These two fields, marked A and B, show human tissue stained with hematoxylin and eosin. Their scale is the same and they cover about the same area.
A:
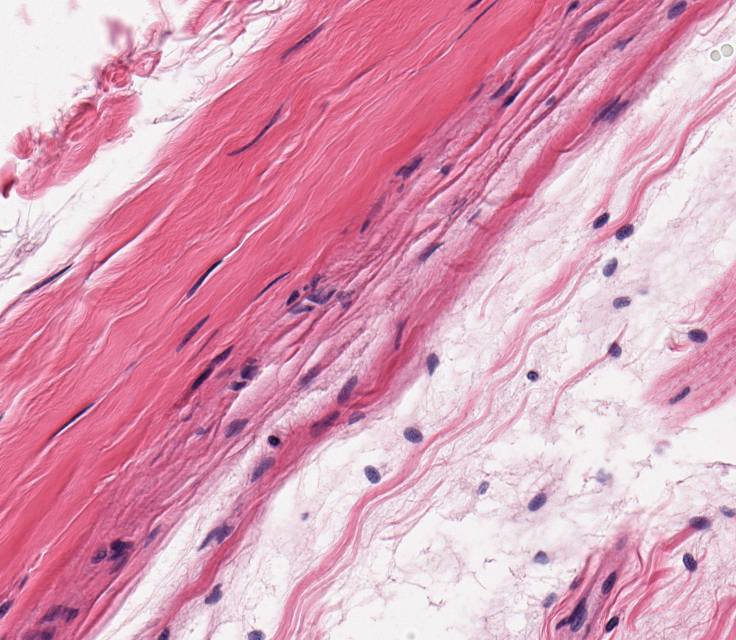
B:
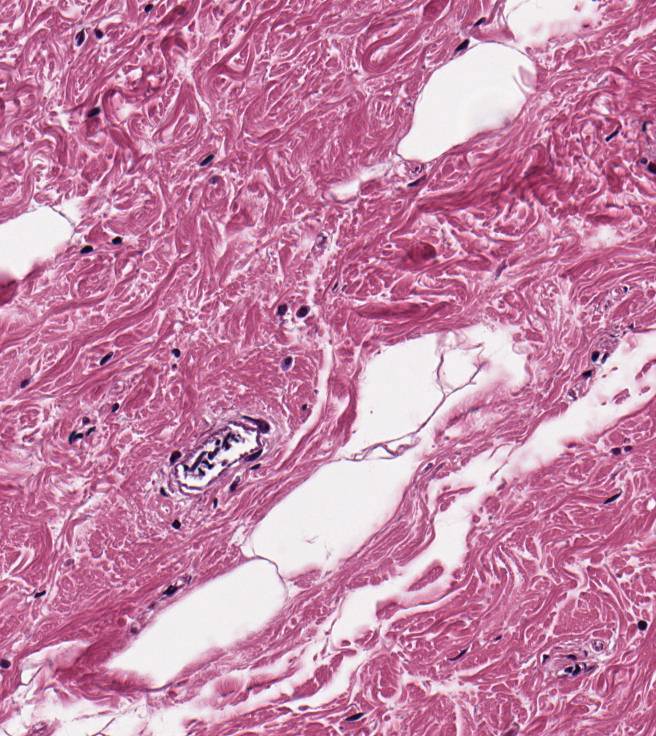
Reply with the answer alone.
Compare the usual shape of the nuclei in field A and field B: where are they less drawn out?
B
